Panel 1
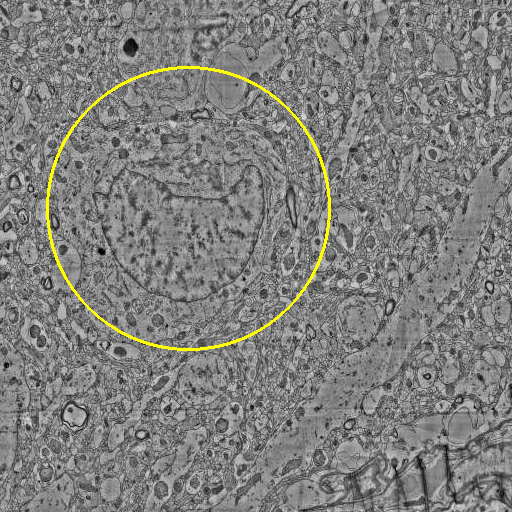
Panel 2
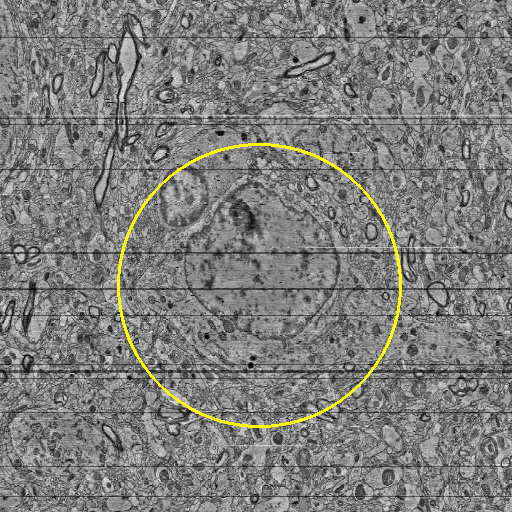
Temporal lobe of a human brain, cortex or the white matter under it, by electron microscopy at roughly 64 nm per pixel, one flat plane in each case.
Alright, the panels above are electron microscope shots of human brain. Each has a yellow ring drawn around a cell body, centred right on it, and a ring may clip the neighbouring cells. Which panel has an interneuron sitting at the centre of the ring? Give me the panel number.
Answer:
1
